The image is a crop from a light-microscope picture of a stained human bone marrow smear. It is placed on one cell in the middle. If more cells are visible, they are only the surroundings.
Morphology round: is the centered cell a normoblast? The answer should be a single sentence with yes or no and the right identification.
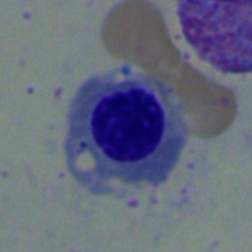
Yes, that is right: the middle cell is a normoblast.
